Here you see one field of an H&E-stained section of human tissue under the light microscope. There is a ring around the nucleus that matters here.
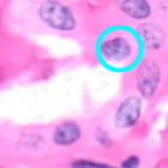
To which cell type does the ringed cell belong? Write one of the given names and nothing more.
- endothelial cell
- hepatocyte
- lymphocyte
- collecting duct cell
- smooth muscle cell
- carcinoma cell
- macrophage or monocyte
collecting duct cell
